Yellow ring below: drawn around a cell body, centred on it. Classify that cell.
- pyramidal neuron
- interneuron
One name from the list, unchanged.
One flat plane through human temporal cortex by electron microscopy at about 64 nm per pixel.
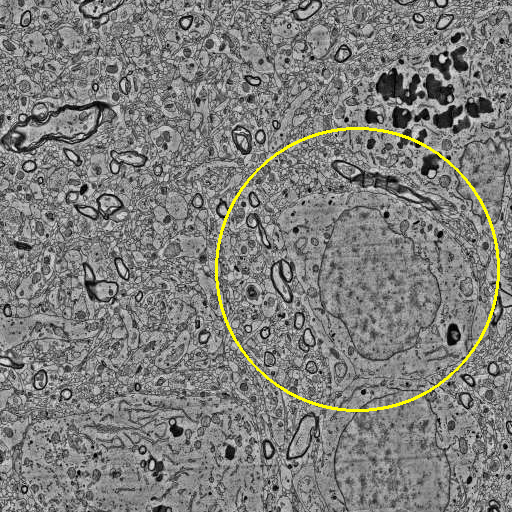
pyramidal neuron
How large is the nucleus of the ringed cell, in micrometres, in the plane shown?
In this plane the nucleus measures roughly 10 by 8 micrometers.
